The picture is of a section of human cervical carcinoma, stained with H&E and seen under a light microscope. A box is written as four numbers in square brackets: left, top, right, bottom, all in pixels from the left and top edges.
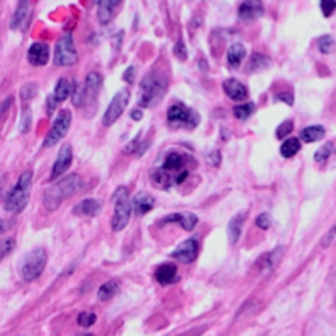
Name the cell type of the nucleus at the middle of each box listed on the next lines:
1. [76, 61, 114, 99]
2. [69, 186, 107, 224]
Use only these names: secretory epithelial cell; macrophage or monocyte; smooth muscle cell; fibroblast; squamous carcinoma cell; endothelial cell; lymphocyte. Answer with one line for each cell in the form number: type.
1: endothelial cell
2: fibroblast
